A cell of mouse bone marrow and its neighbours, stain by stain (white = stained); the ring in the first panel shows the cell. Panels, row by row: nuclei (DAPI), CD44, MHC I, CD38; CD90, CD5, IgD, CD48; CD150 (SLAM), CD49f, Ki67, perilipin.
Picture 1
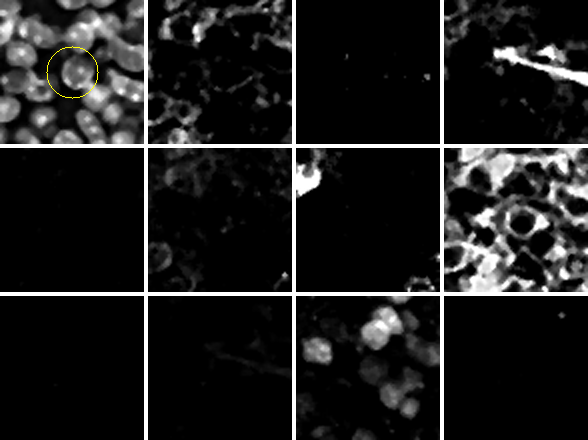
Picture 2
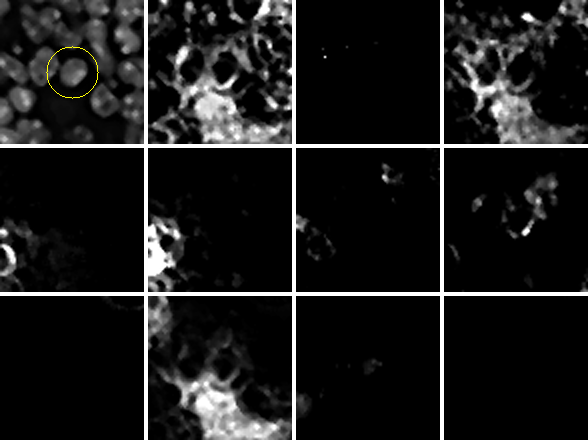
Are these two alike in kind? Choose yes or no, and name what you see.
Yes. Capillary endothelial cells.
